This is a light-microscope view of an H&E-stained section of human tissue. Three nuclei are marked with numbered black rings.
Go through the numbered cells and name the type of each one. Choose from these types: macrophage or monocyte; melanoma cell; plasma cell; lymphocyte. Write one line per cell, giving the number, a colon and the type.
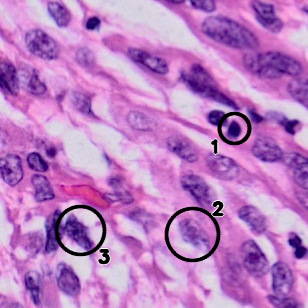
1: lymphocyte
2: melanoma cell
3: melanoma cell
